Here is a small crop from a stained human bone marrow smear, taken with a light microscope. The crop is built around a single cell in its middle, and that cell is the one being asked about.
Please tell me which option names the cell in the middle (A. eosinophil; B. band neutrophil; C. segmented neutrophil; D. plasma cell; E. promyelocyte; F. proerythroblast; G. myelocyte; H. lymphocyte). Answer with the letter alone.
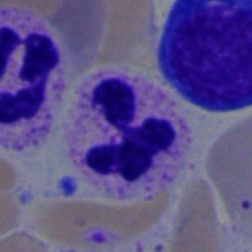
C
